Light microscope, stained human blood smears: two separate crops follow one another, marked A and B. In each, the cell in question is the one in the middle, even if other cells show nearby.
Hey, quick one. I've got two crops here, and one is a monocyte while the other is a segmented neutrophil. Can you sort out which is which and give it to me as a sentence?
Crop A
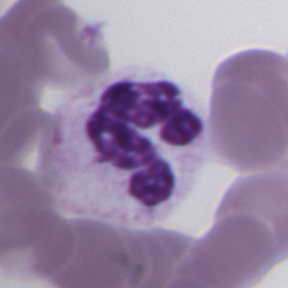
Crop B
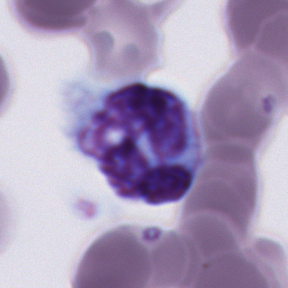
The middle cell in crop A is a segmented neutrophil; the middle cell in crop B is a monocyte.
